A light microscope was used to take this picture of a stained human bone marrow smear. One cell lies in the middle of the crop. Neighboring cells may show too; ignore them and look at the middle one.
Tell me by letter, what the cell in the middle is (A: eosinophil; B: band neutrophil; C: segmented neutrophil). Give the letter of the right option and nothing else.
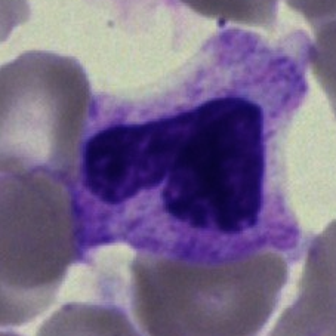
B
